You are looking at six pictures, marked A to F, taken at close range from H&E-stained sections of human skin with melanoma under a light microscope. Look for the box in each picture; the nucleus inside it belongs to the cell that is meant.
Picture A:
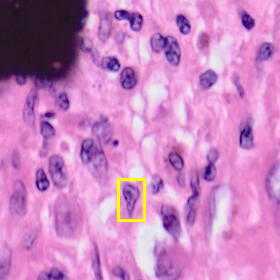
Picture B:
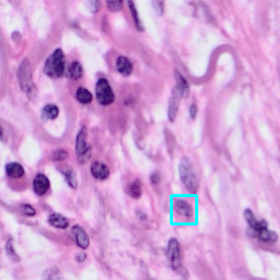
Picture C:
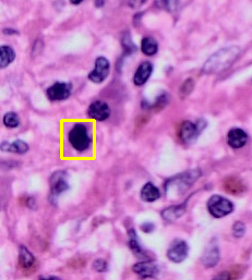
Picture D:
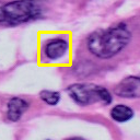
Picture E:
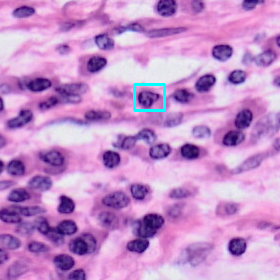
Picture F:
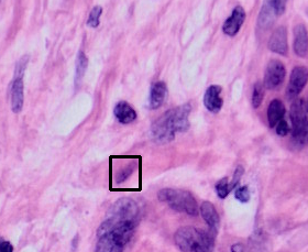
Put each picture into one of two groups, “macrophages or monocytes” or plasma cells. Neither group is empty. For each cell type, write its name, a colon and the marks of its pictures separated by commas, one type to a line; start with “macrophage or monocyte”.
macrophage or monocyte: A, B, D, F
plasma cell: C, E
